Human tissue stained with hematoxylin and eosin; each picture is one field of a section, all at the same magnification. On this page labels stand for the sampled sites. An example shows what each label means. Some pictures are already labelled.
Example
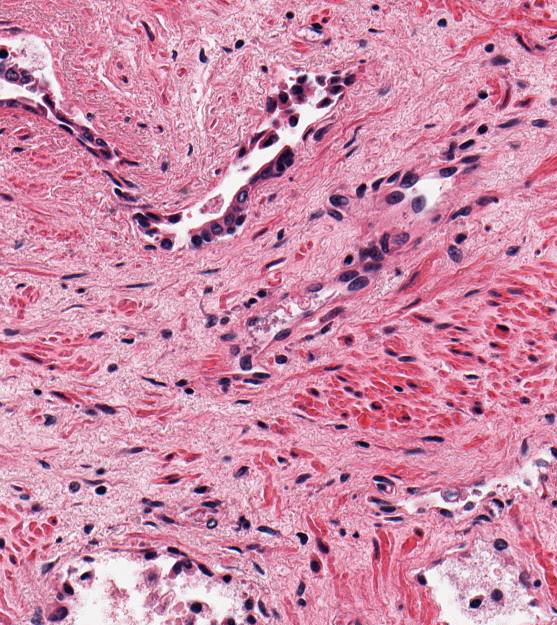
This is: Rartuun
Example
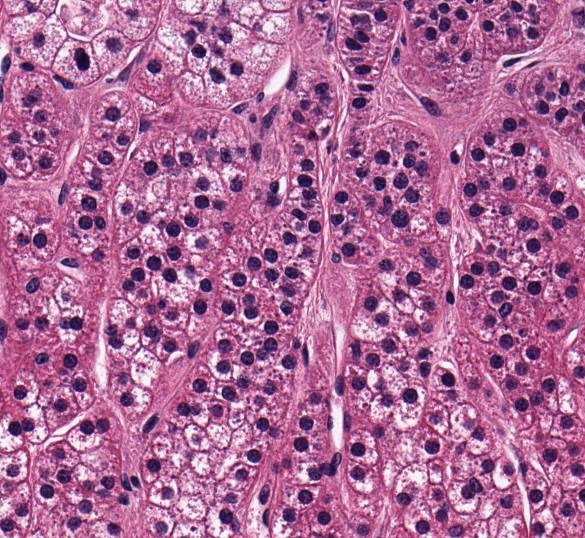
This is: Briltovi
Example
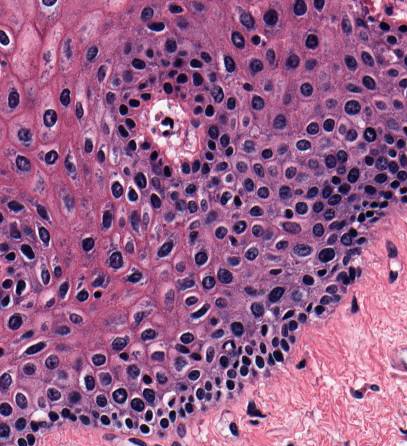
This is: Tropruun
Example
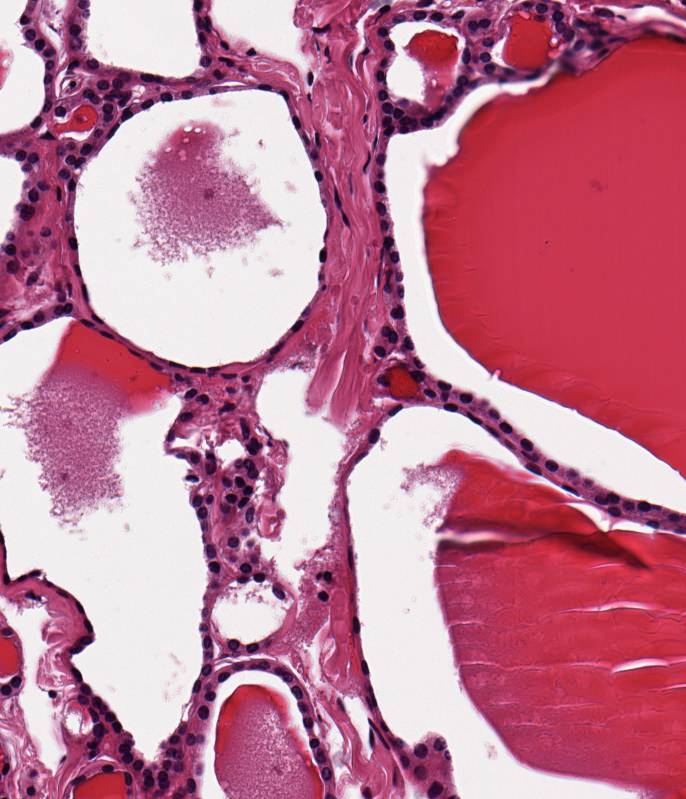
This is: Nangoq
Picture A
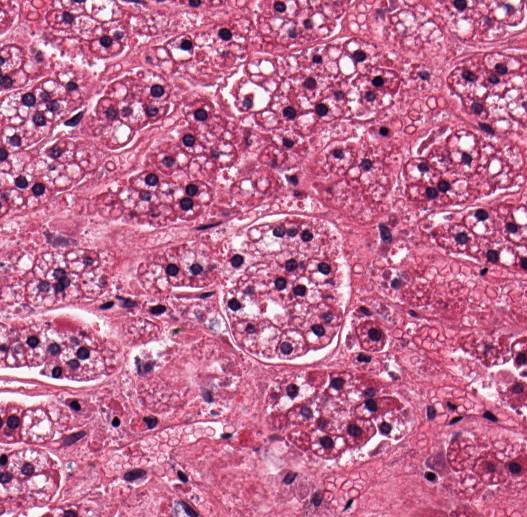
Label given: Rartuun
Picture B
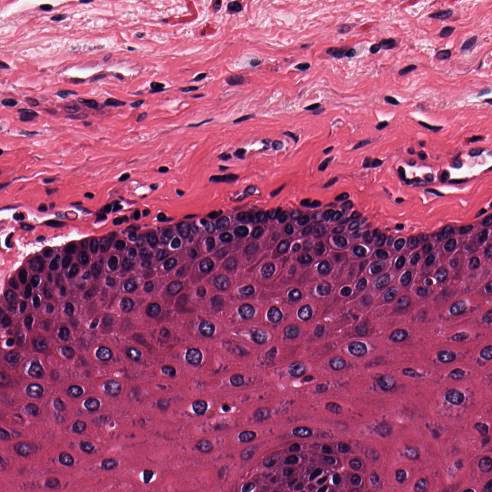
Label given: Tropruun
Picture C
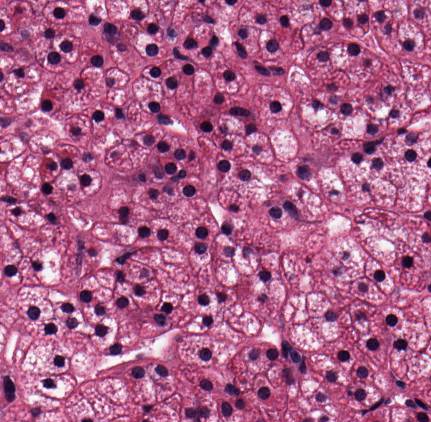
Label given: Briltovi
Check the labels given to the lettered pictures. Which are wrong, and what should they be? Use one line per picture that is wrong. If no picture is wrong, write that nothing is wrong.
A should be Briltovi, not Rartuun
